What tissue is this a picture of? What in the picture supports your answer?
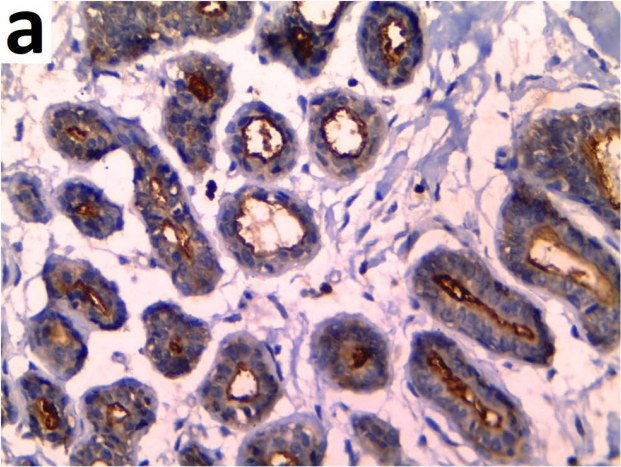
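Many small round to elongated ducts or acini with open lumina lie in loose pale stroma. Each acinus is lined by an orderly epithelial layer with blue nuclei. Brown stain is concentrated at the luminal border of the lining cells.
Conclusion: normal breast lobules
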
